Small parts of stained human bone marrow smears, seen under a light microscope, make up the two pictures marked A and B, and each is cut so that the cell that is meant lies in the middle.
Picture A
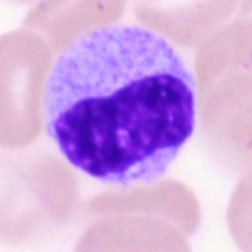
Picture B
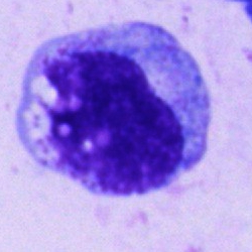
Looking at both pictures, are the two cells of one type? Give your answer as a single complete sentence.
No; the cell in picture A is a metamyelocyte, while the one in picture B is a monocyte.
